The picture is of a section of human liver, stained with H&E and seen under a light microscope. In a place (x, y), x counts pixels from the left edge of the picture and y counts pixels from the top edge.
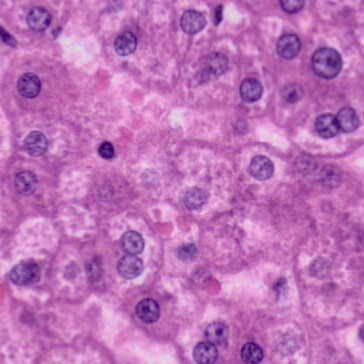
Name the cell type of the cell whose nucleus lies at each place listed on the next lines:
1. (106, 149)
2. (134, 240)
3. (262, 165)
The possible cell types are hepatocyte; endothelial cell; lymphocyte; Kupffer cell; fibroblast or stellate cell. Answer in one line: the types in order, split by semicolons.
lymphocyte; hepatocyte; hepatocyte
